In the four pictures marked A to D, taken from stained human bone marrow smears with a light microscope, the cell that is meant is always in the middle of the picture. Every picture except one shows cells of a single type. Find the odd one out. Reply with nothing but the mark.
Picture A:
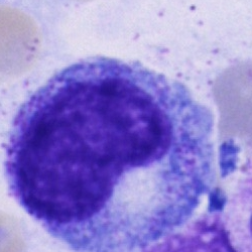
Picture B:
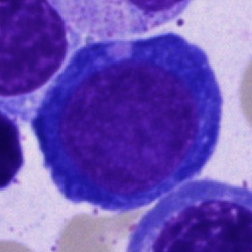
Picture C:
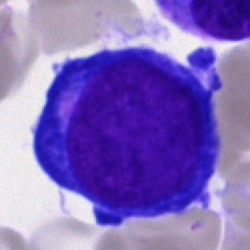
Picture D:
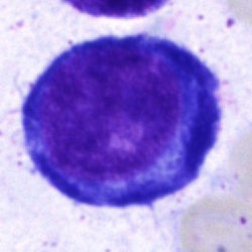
A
